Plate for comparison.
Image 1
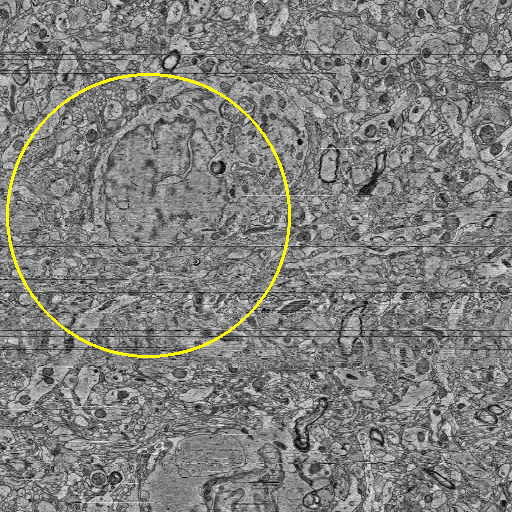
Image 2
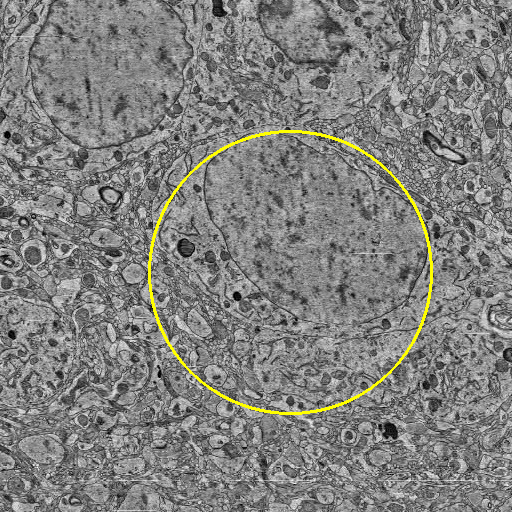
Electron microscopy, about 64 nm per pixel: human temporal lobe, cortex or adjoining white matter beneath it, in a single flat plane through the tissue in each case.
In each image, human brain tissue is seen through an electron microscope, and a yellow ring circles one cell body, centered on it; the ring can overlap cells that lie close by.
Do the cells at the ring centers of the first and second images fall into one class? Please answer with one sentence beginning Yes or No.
No, the first and second images show two classes of cell at the ring centers.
